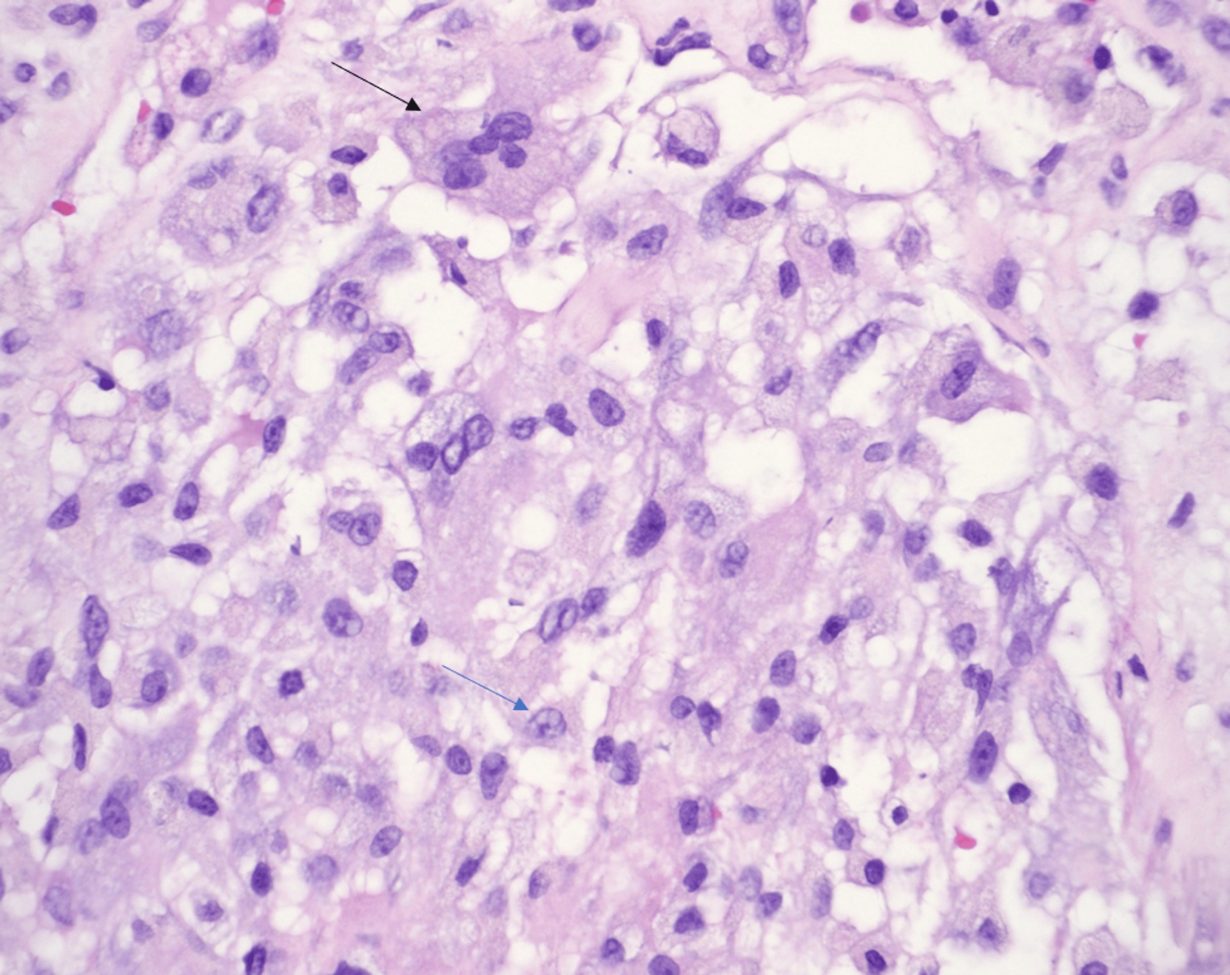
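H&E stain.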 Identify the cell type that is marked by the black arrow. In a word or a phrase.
Giant cells.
